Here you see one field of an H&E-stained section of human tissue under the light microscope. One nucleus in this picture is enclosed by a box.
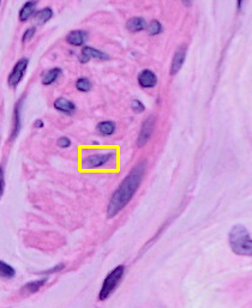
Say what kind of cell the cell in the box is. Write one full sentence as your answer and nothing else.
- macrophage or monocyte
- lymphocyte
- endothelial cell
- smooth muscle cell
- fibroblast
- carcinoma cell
Among the cells in this section, the cell in the box is a smooth muscle cell.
